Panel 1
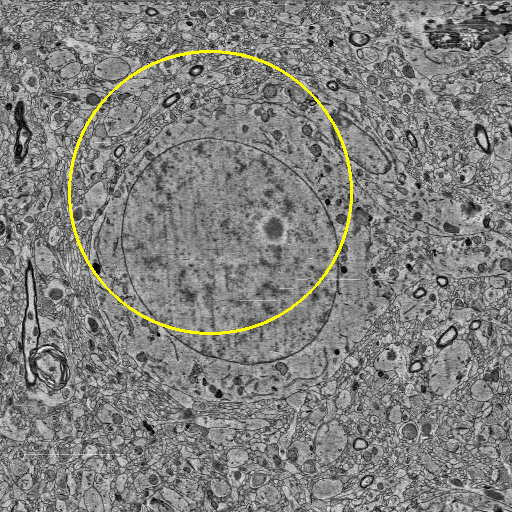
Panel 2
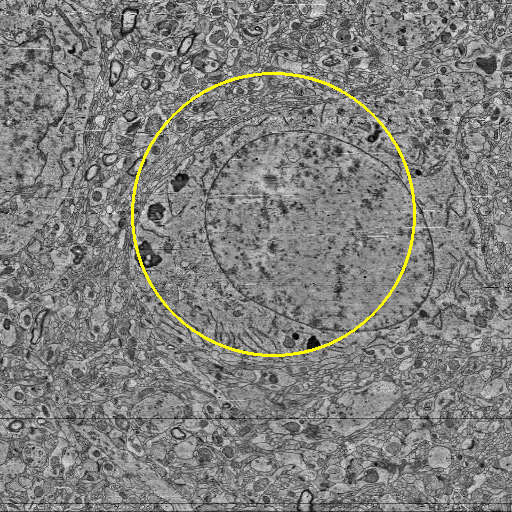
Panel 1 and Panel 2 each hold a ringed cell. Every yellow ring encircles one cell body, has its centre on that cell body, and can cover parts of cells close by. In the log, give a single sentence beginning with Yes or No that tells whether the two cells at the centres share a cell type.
Yes, in Panel 1 and Panel 2 the centred cells share a cell type.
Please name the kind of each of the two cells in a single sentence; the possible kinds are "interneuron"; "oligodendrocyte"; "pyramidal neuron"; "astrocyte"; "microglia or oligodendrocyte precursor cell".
Each of the two pictures has a pyramidal neuron at the ring centre.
